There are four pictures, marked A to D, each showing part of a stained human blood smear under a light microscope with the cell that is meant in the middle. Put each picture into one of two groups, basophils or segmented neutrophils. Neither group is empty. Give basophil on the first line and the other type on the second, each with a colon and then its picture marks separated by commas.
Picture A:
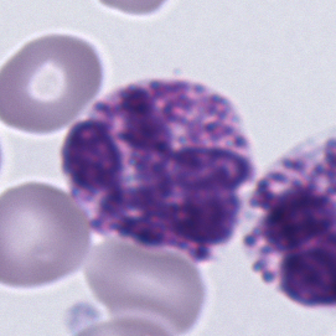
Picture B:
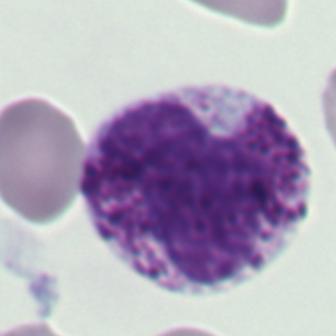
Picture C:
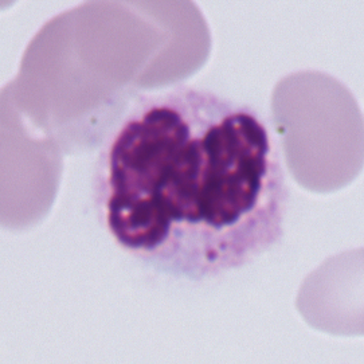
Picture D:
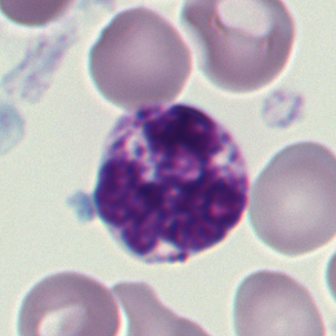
basophil: A, B, D
segmented neutrophil: C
